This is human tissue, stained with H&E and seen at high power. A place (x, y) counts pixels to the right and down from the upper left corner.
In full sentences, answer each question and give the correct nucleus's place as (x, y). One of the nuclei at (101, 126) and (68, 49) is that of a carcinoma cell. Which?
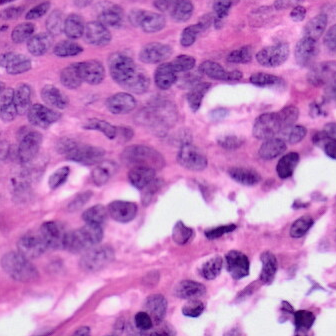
Assigned to a carcinoma cell is the nucleus located at (68, 49).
